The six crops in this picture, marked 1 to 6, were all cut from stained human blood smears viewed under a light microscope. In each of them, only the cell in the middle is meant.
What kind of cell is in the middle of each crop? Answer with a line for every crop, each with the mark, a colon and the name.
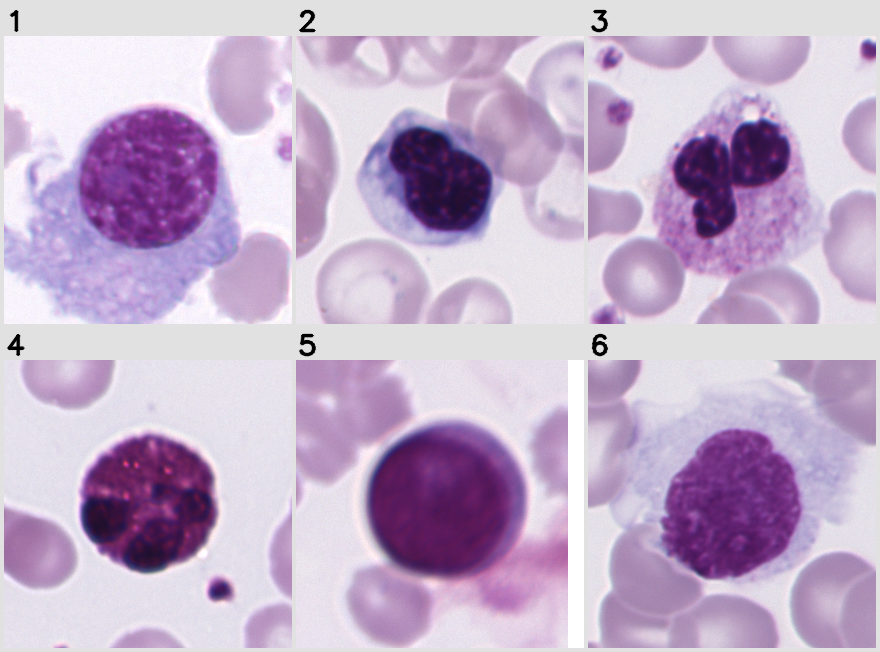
1: plasma cell
2: normoblast
3: segmented neutrophil
4: eosinophil
5: myeloblast
6: hairy cell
